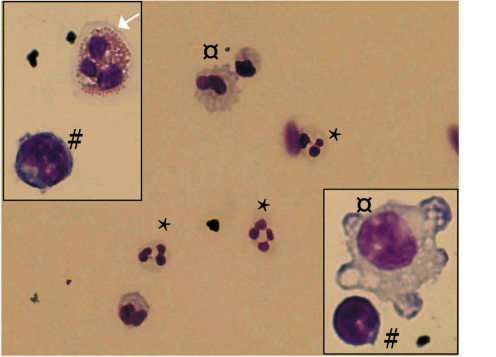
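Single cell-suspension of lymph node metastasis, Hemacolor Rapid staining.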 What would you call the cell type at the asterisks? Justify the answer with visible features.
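Small cells with nuclei of several separate dark lobes.
Hence: neutrophils.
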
